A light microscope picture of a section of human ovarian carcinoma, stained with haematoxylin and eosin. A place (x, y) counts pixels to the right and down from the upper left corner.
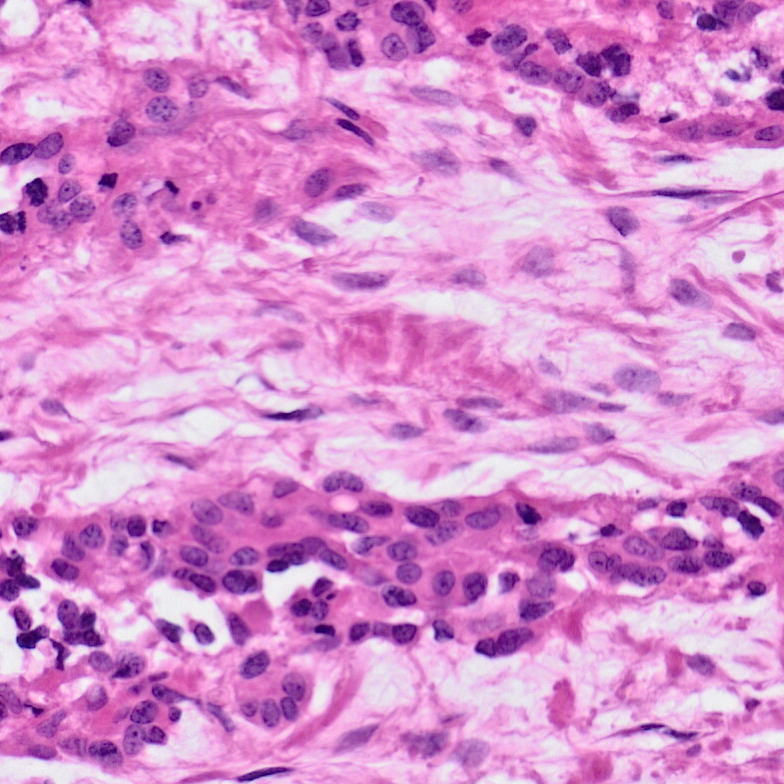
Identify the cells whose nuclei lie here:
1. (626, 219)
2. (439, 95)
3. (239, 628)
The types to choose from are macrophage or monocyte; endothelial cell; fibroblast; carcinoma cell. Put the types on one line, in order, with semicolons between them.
fibroblast; fibroblast; carcinoma cell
